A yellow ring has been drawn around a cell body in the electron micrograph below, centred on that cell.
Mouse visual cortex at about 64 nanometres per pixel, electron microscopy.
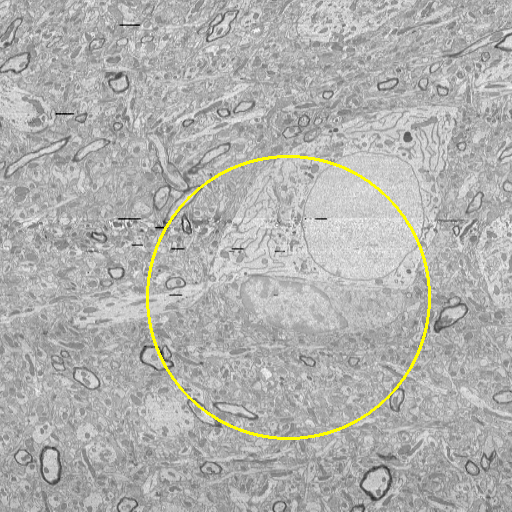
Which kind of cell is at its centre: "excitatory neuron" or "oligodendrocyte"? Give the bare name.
oligodendrocyte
